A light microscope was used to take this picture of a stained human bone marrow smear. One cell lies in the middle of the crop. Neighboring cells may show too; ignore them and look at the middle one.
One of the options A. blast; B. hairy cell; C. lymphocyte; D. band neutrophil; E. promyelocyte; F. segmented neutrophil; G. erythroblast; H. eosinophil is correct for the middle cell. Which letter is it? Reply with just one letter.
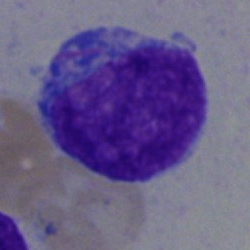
A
